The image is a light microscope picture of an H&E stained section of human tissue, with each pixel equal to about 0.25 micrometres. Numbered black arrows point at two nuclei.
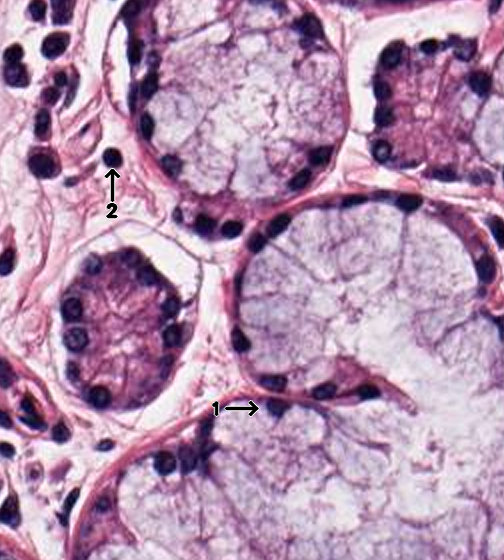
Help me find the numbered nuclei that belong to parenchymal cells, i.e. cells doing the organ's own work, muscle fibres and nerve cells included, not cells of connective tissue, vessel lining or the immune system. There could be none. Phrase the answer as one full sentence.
The single marked nucleus belonging to a parenchymal cell is nucleus 1.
